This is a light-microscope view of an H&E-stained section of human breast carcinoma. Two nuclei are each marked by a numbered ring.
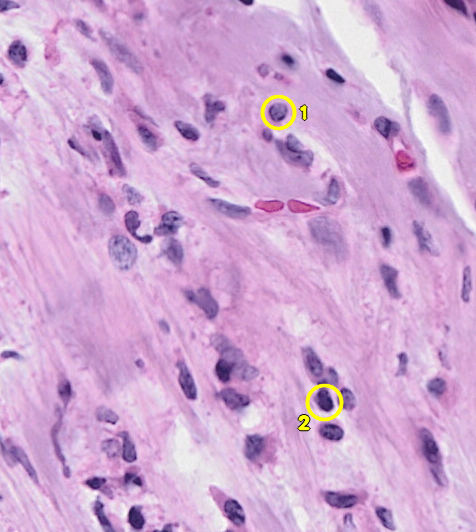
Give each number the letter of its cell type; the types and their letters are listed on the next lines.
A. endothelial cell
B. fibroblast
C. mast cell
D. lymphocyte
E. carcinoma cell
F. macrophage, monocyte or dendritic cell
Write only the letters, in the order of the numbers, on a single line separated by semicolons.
C; D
